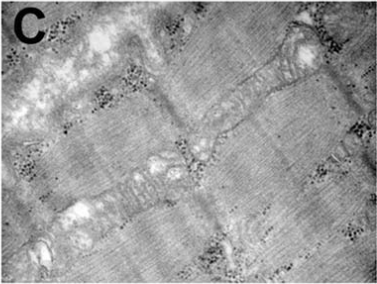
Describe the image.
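This is skeletal muscle seen by transmission electron microscopy, showing myofibrils and mitochondria lying between them. Broad blocks of striated myofibrils fill much of the field. In the narrow spaces between them run long, slender mitochondria rather than short oval ones. Their inner folds are irregular and disordered. Pale clear spaces, resembling vacuoles, lie along these spaces, especially at the upper left, and scattered dark granules are present nearby.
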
